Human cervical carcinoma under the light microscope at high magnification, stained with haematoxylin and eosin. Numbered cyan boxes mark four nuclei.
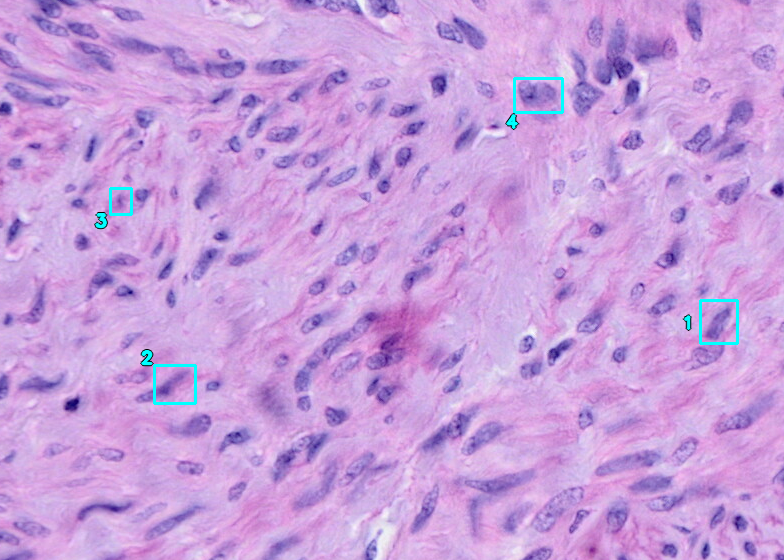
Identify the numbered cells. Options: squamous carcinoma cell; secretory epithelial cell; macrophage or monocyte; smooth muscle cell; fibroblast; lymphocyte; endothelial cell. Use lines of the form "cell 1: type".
cell 1: smooth muscle cell
cell 2: smooth muscle cell
cell 3: smooth muscle cell
cell 4: fibroblast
